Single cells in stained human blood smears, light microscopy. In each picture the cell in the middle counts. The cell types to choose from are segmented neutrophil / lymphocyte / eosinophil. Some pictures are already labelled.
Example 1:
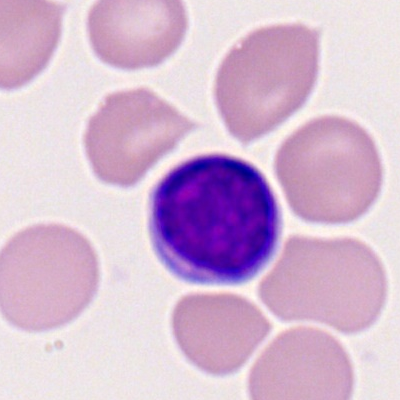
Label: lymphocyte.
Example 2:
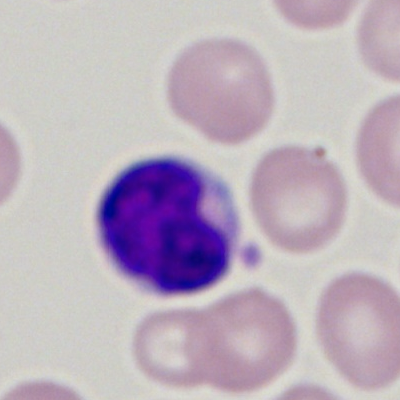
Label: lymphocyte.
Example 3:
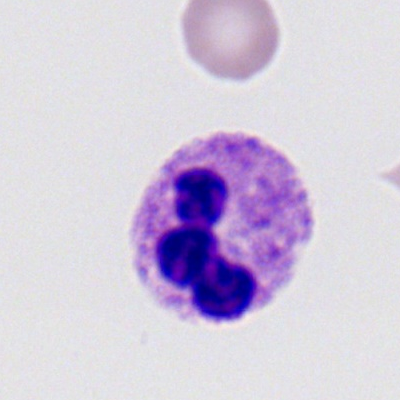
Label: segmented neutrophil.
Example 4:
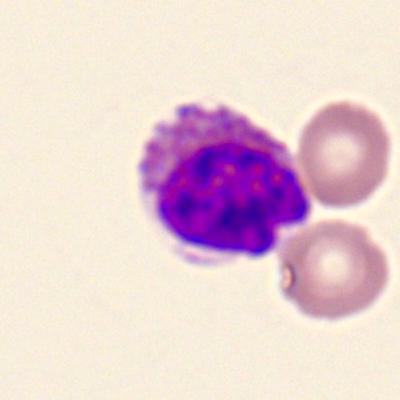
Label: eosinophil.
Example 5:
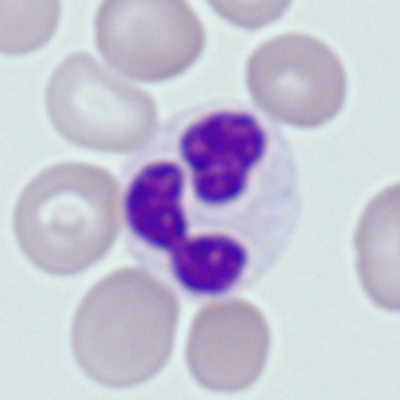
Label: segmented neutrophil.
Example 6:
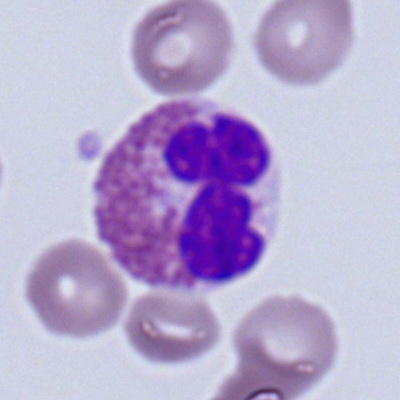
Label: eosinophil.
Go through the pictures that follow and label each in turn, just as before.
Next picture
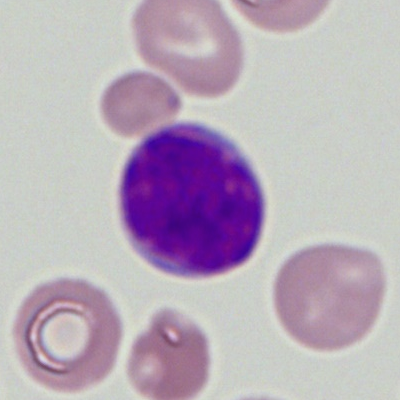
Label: lymphocyte.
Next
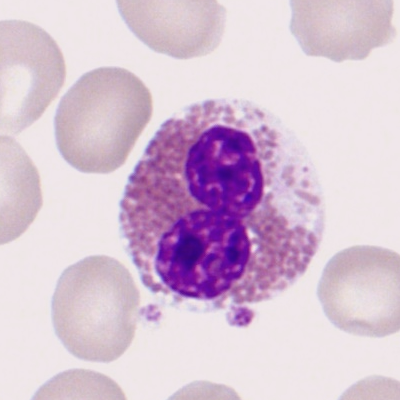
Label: eosinophil.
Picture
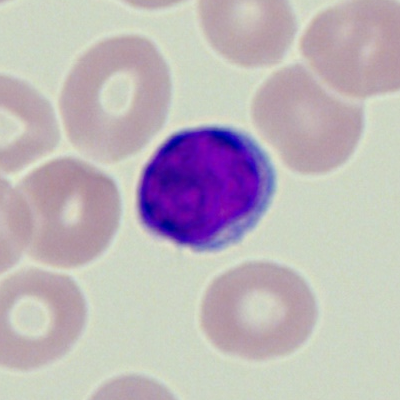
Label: lymphocyte.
